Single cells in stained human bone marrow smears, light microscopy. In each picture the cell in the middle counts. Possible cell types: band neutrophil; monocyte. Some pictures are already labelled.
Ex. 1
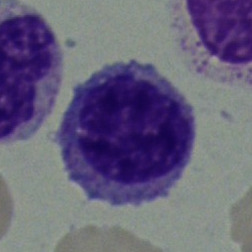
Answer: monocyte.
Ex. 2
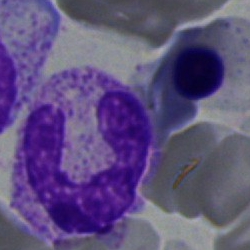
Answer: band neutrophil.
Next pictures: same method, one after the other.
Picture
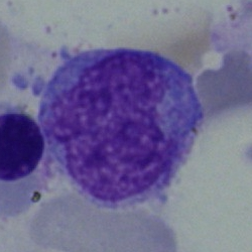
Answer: monocyte.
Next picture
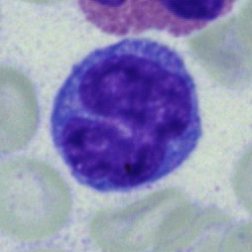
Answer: monocyte.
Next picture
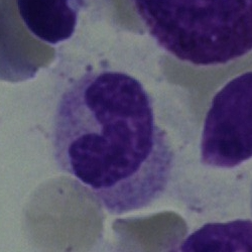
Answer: band neutrophil.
